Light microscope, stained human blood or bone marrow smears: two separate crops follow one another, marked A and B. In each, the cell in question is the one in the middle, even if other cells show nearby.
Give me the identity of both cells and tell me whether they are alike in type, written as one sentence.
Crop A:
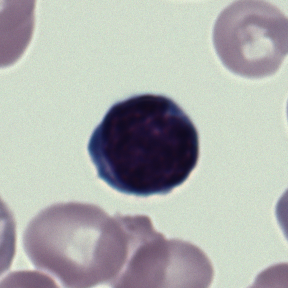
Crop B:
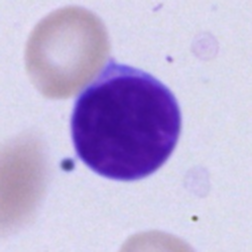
No, it is a blast in crop A and a lymphocyte in crop B.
